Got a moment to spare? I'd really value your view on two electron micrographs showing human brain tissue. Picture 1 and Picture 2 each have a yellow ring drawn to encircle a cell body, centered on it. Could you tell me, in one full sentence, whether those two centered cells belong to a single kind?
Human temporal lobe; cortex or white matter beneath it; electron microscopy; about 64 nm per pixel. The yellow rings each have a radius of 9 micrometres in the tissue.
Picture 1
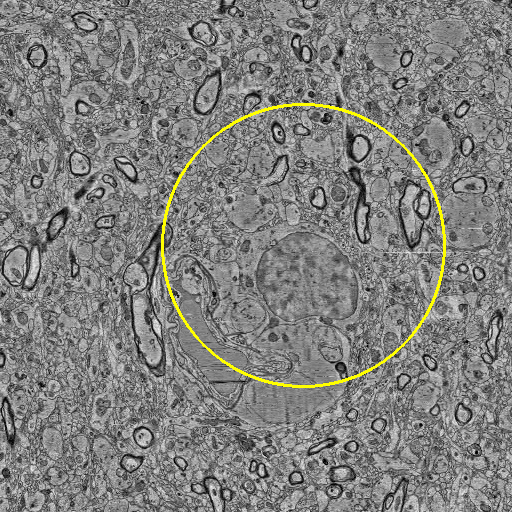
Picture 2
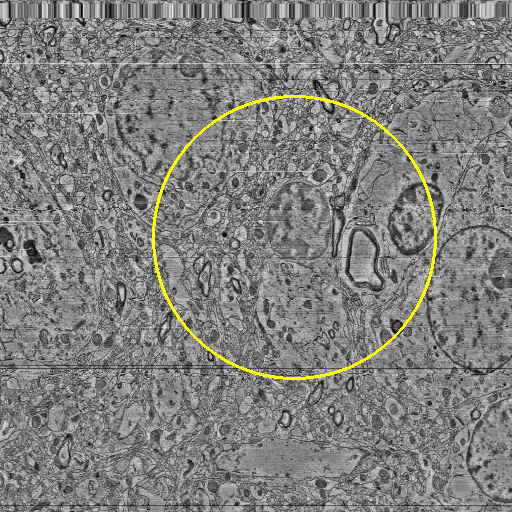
Yes, the two centered cells in Picture 1 and Picture 2 are of a single kind.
